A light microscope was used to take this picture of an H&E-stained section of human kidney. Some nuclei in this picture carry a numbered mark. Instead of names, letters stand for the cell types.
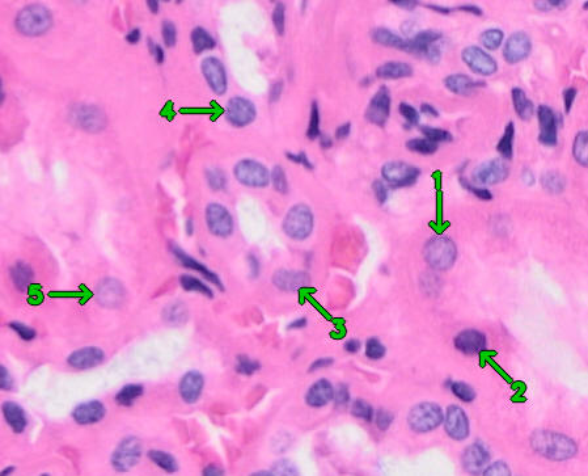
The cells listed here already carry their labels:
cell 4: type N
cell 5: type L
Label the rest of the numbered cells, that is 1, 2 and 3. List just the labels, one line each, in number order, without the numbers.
type L
type L
type N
